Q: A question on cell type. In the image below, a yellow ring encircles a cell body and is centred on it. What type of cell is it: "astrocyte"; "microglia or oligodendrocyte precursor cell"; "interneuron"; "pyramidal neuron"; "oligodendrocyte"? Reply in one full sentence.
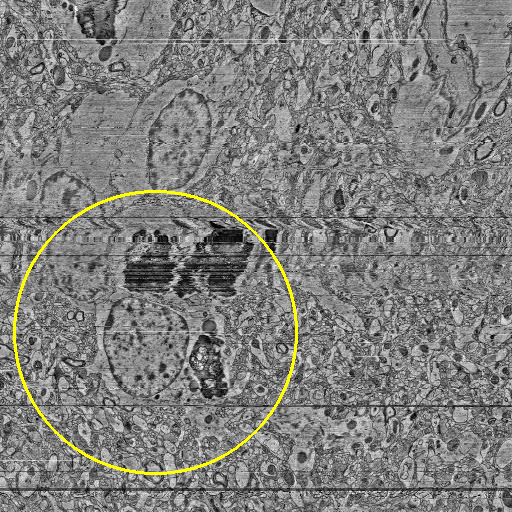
It is an astrocyte whose cell body sits at the centre of the yellow ring in the image.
